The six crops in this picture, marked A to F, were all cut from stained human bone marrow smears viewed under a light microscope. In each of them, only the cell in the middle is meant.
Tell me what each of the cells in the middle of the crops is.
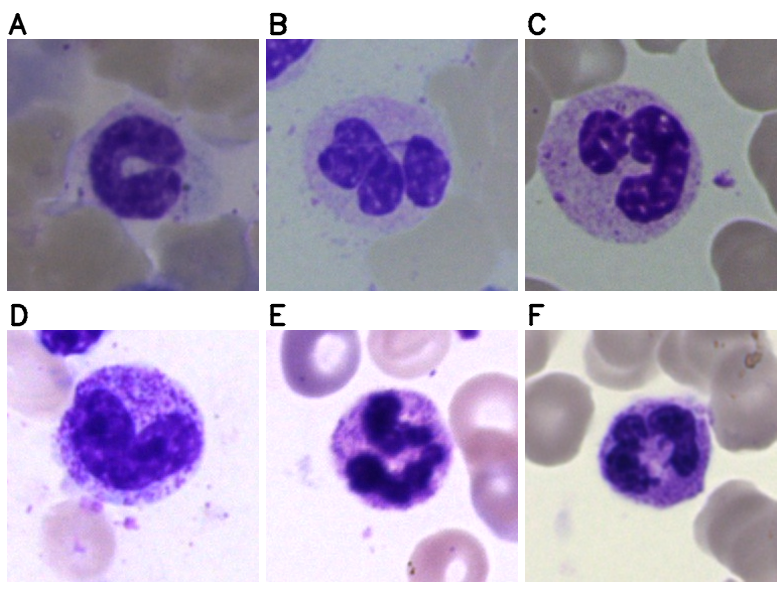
A: band neutrophil
B: segmented neutrophil
C: segmented neutrophil
D: band neutrophil
E: segmented neutrophil
F: segmented neutrophil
